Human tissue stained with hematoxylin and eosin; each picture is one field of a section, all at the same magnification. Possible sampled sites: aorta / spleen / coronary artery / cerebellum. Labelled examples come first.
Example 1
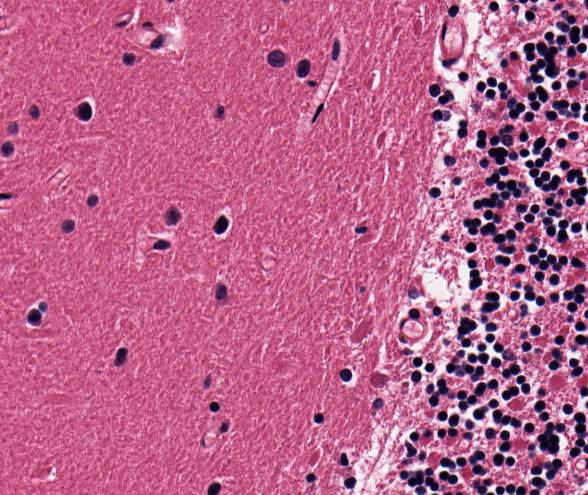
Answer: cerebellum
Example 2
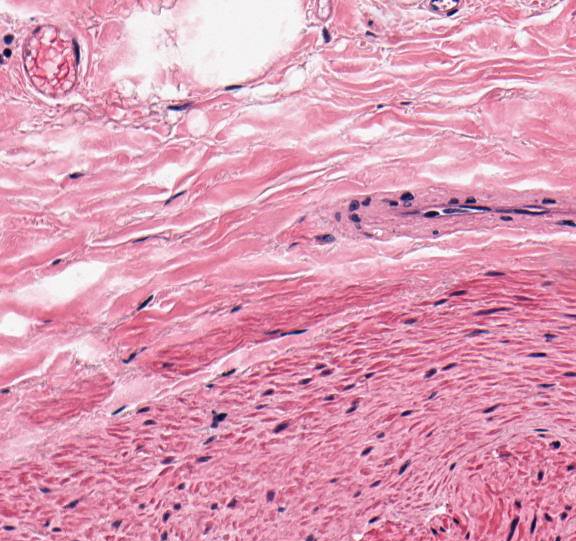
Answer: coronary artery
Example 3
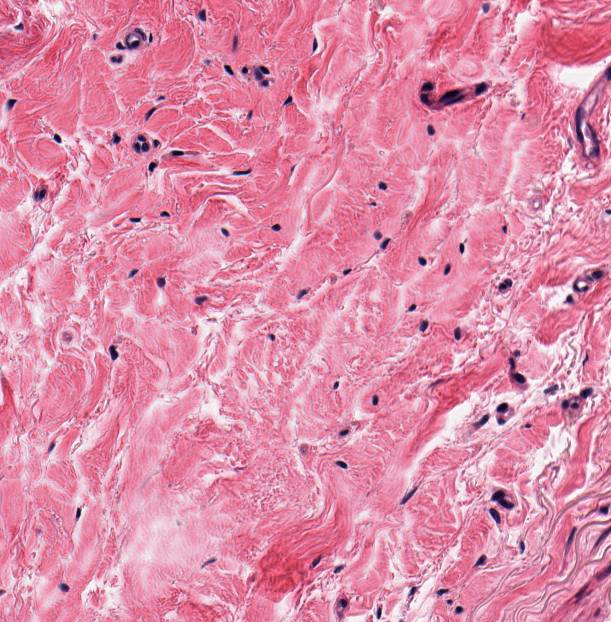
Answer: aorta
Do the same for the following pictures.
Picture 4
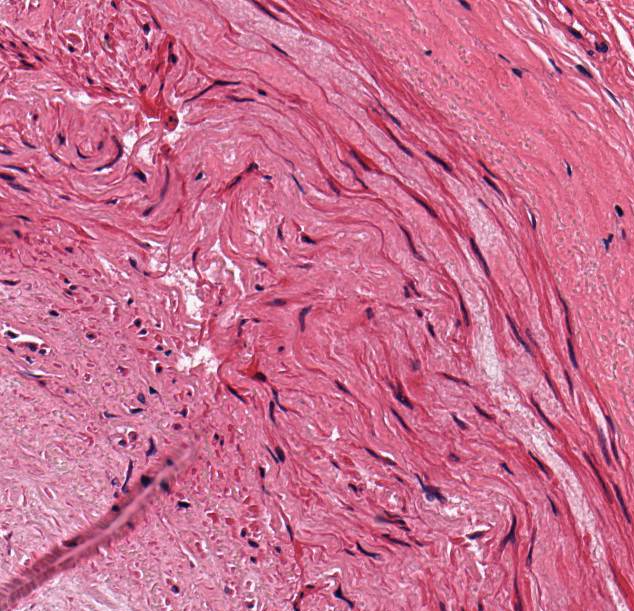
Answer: coronary artery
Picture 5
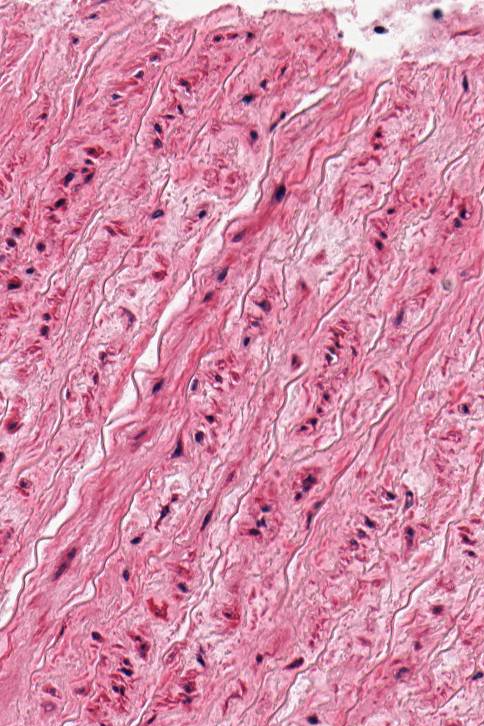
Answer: aorta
